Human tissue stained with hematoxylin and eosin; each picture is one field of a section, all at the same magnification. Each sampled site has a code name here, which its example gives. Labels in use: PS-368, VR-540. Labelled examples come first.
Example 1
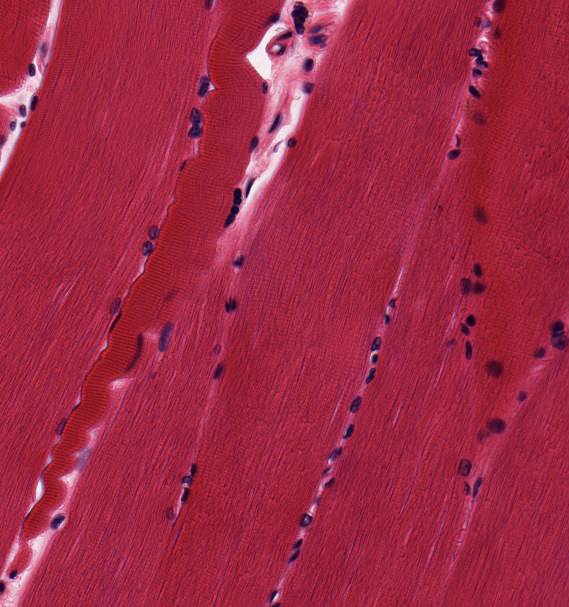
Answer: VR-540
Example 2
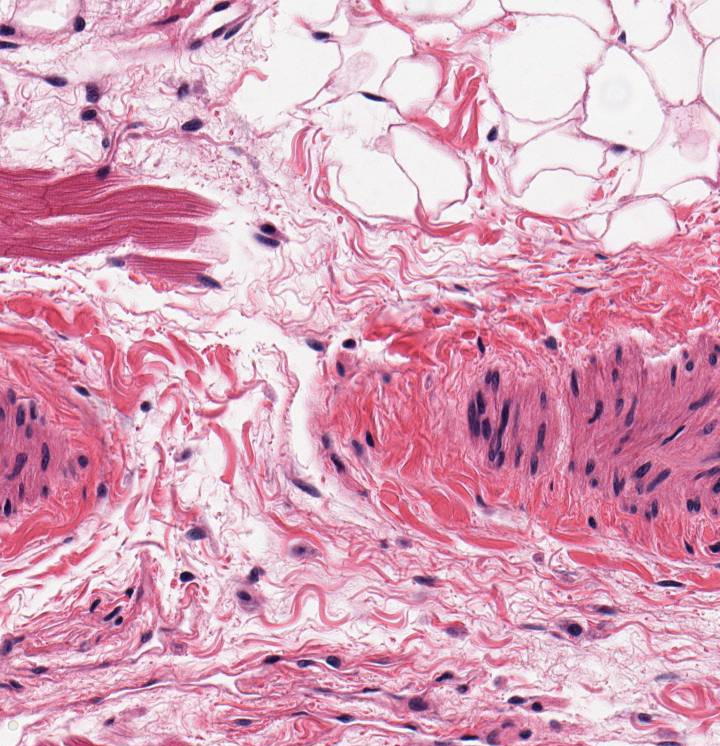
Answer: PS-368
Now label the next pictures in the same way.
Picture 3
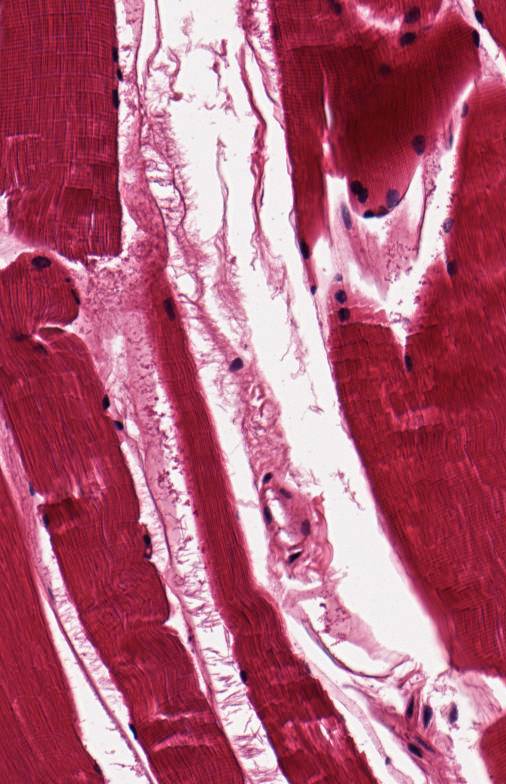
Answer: VR-540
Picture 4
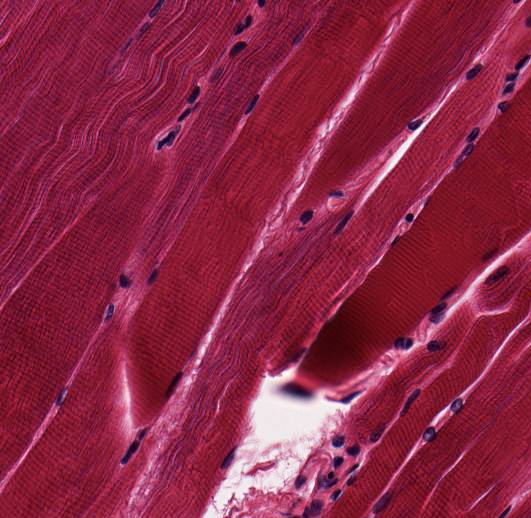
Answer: VR-540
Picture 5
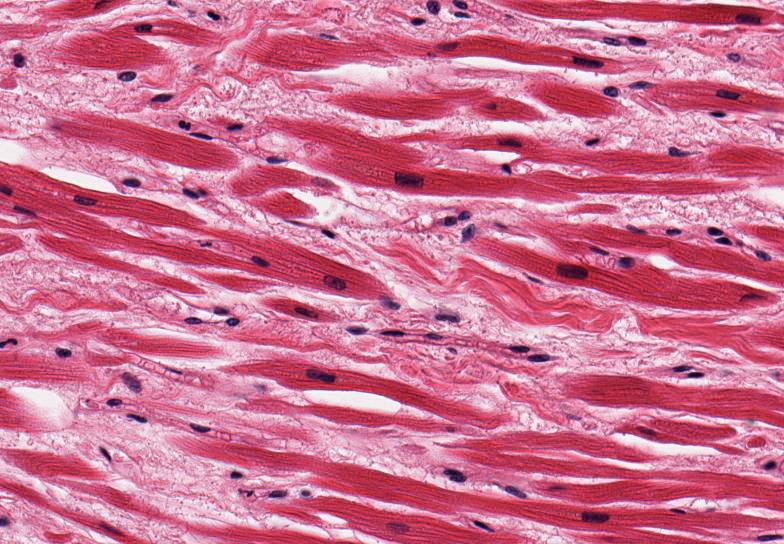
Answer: PS-368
